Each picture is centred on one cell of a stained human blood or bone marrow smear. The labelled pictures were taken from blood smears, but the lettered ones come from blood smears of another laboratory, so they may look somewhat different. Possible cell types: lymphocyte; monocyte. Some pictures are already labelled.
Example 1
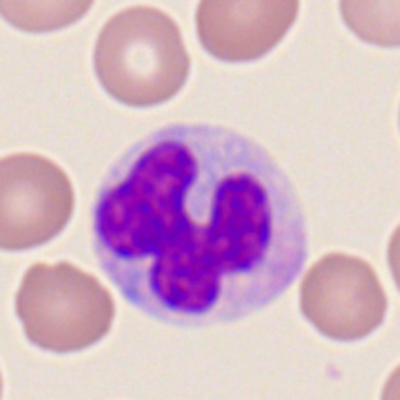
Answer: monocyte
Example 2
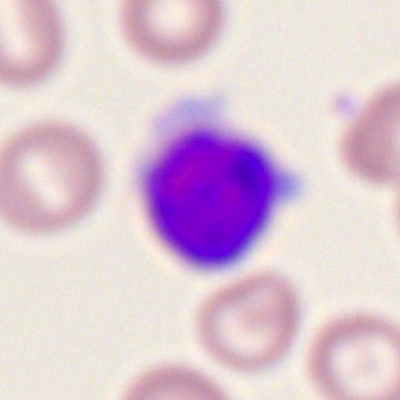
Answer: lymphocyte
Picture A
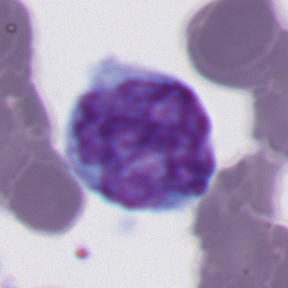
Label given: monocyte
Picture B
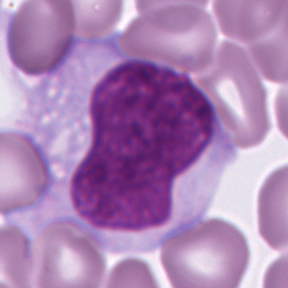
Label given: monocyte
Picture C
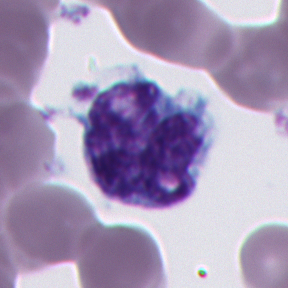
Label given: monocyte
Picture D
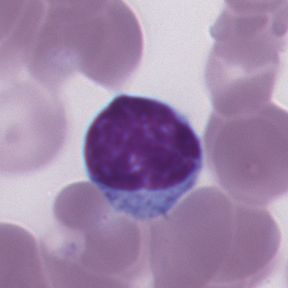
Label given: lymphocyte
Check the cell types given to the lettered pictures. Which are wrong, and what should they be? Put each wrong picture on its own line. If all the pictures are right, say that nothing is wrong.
All labels are correct.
